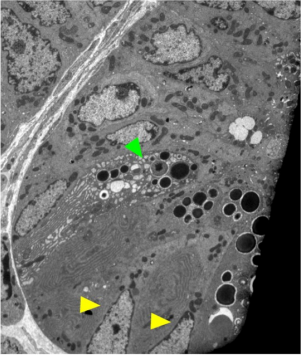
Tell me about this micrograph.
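Near the center lies a cluster of small, irregular granules of uneven density. Toward the bottom, slender cells lie between the granule-containing cells. Pale bands of connective tissue border the crypt at the upper left.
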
